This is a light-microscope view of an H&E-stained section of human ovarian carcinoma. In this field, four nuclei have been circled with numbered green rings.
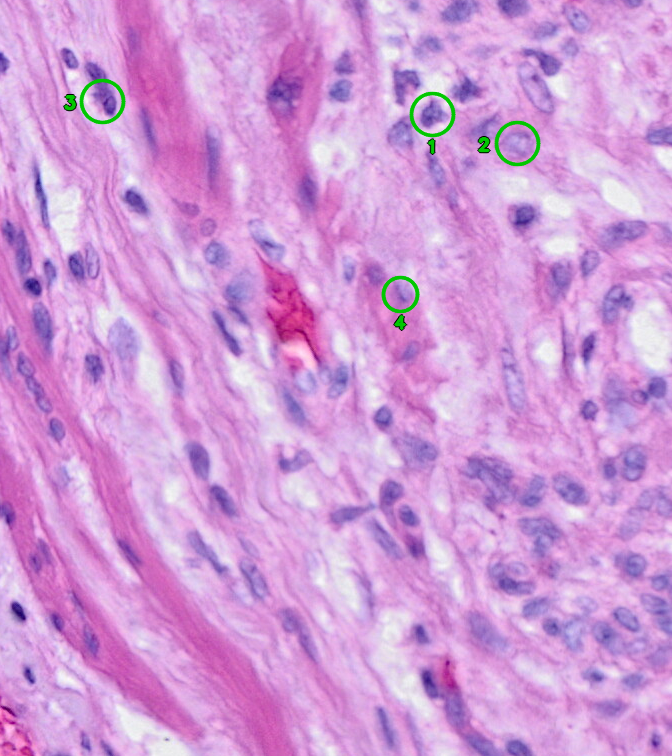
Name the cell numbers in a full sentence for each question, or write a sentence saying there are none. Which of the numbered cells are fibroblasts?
Cell 2 is the only numbered cell that is a fibroblast.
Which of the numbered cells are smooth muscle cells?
Only the cell carrying number 4 is a smooth muscle cell.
